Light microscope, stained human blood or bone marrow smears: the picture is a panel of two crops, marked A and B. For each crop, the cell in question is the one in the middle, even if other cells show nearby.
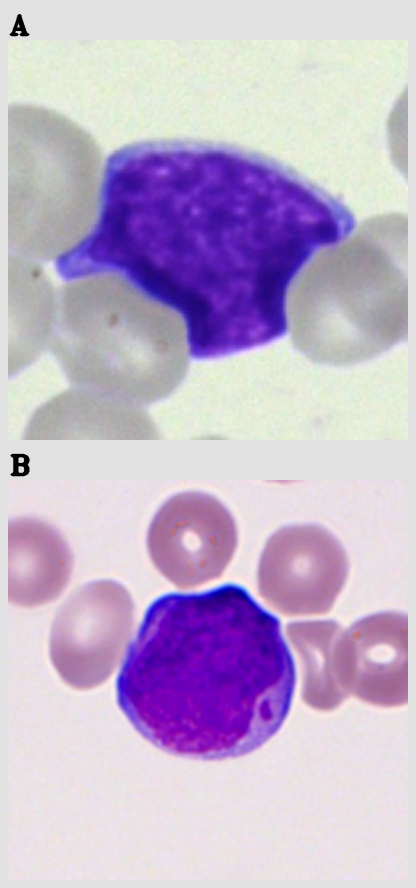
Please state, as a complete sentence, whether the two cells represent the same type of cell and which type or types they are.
Yes, both crops show blasts in the centre of the field.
